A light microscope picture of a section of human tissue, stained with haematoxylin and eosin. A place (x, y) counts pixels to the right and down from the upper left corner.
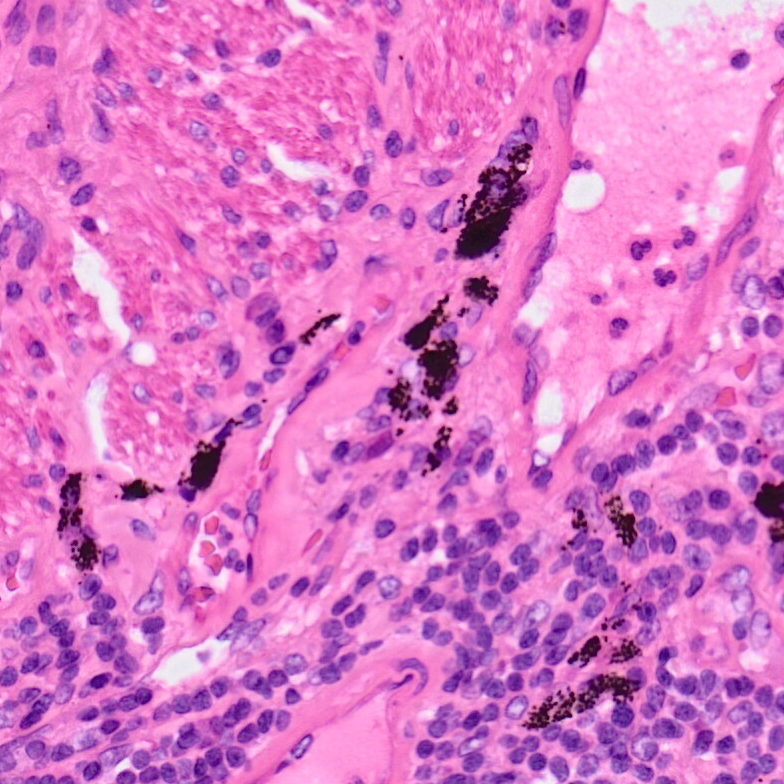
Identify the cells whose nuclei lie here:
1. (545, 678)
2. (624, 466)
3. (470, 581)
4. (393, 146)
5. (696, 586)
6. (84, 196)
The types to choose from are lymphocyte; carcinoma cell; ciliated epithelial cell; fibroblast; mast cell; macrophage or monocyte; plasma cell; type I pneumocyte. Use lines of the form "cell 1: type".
cell 1: lymphocyte
cell 2: lymphocyte
cell 3: lymphocyte
cell 4: mast cell
cell 5: lymphocyte
cell 6: mast cell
